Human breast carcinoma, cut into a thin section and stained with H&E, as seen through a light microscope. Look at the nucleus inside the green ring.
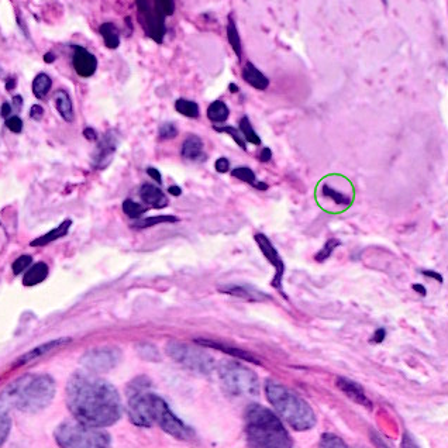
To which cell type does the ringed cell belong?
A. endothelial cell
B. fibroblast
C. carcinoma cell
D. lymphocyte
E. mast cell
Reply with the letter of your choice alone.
B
